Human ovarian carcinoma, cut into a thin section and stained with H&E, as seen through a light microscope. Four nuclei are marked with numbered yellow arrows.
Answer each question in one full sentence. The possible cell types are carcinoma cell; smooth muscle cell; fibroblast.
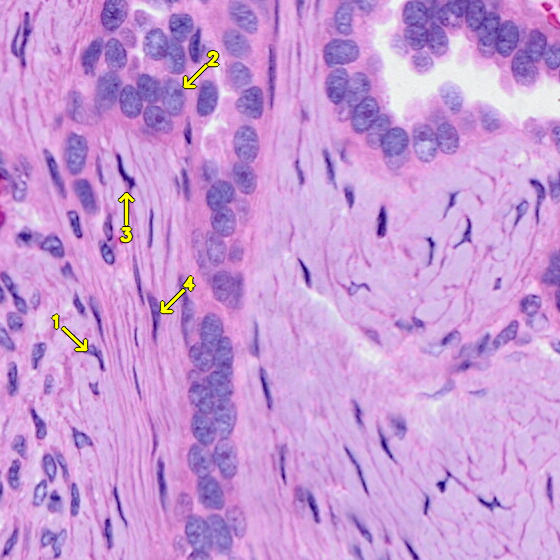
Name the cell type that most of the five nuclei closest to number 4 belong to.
Fibroblasts make up most of the five nuclei closest to number 4.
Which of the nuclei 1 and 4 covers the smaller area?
Number 1 is smaller, since number 4 takes up about 2 times as much area.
